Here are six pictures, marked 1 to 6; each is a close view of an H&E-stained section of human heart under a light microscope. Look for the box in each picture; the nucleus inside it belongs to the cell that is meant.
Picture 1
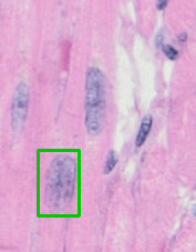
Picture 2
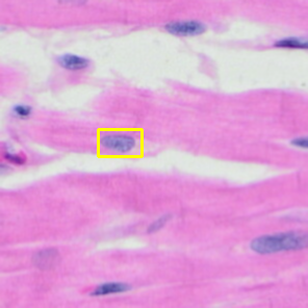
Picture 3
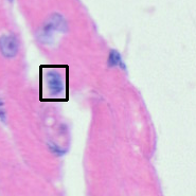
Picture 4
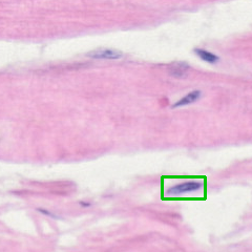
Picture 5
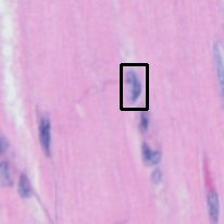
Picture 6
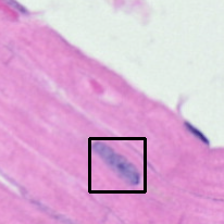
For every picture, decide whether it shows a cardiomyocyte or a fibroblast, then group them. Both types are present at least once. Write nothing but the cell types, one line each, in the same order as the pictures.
cardiomyocyte
cardiomyocyte
fibroblast
fibroblast
fibroblast
cardiomyocyte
